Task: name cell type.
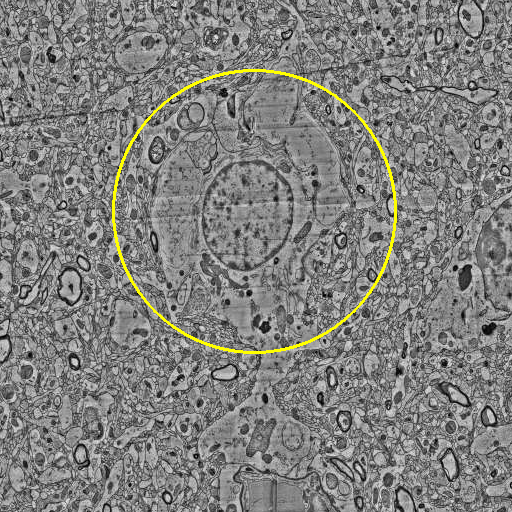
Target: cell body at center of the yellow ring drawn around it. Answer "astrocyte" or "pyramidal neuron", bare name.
astrocyte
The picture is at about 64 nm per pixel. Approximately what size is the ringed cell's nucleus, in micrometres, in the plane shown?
About 7 by 6 micrometres in this plane.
